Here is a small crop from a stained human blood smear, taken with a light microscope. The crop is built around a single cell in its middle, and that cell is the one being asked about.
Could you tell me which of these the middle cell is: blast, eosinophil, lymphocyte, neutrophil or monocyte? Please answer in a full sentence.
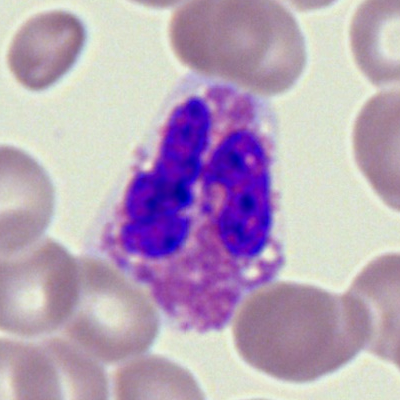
The center cell of this crop is an eosinophil.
